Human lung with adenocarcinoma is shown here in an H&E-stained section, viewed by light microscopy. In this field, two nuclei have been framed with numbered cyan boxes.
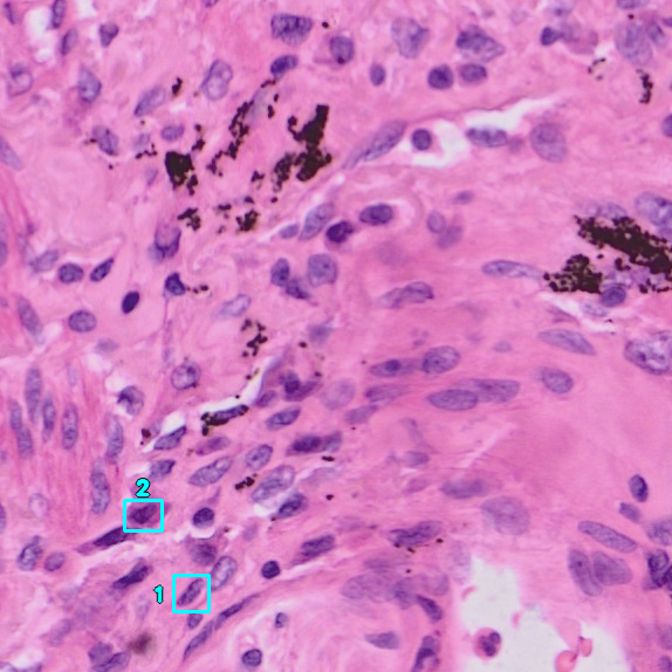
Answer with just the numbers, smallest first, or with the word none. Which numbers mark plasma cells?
2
